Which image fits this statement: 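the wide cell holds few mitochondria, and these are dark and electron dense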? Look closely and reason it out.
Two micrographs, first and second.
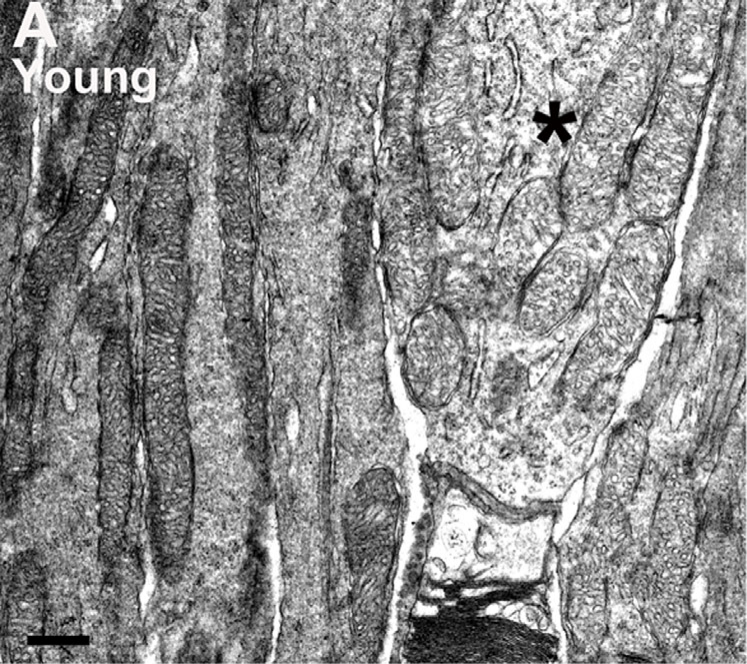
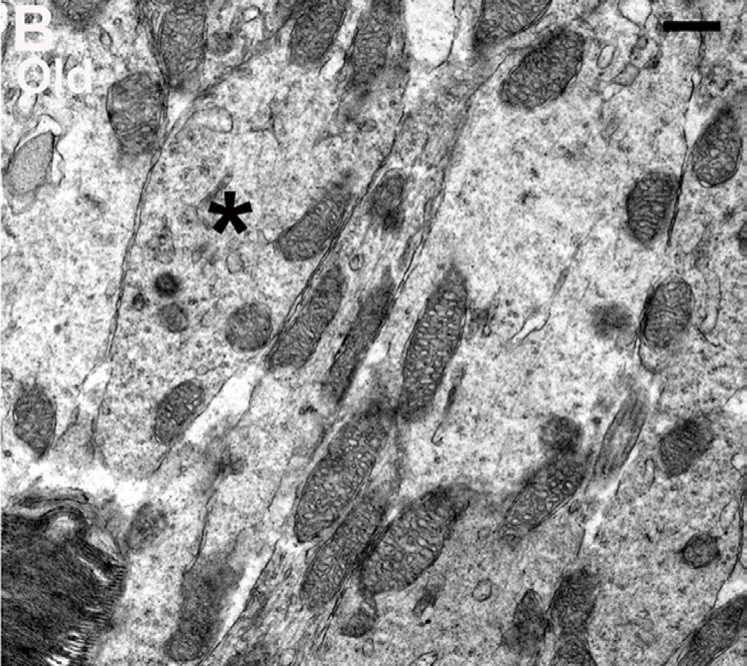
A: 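The second image. Second image: the region marked by the asterisk is mostly pale granular cytoplasm with only a few small, dark mitochondria. First image: the region marked by the asterisk is crowded with many large, pale mitochondria.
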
